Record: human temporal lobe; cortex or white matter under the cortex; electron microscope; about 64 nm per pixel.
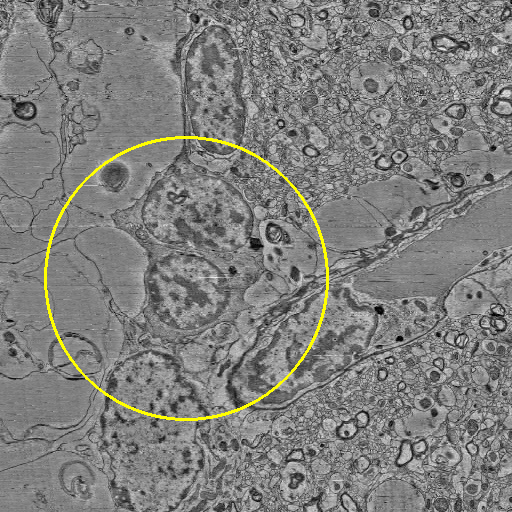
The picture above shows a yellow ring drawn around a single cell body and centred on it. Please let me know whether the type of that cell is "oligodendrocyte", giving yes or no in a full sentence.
Yes, that type fits the cell at the centre of the ring above.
